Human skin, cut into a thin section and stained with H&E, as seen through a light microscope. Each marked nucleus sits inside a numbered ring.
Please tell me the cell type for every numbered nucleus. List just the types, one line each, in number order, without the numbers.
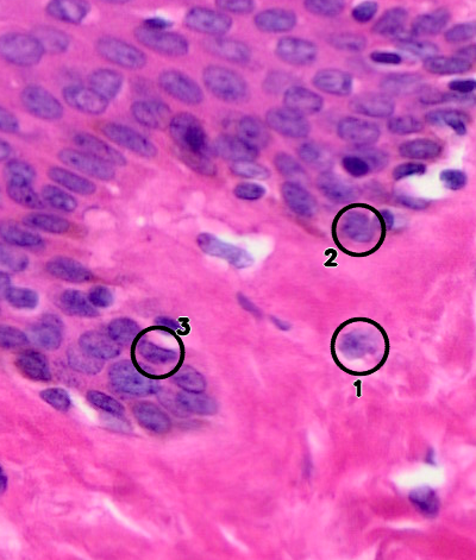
fibroblast
basal keratinocyte
basal keratinocyte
